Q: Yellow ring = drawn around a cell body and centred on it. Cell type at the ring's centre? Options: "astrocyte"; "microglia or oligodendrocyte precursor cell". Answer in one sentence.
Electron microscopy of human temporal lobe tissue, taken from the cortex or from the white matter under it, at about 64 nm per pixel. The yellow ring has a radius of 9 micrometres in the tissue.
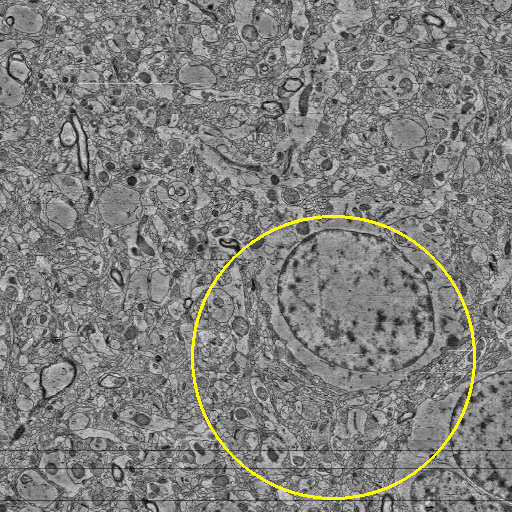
Centred in the ring is an astrocyte.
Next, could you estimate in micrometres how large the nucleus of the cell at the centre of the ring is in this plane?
The nucleus has a long axis of about 11 micrometres and a short axis of about 9 micrometres in this plane.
